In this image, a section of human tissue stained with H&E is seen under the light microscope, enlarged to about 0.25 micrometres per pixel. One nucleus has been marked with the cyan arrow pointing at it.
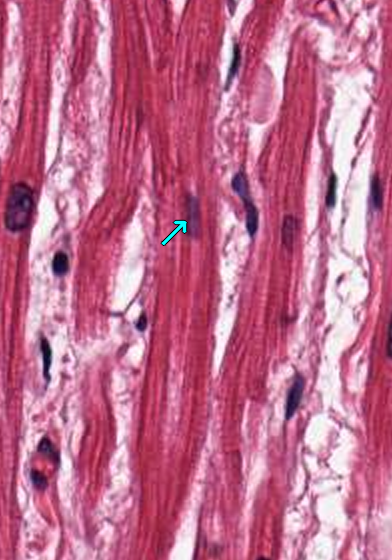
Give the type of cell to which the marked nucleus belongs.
cardiomyocyte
